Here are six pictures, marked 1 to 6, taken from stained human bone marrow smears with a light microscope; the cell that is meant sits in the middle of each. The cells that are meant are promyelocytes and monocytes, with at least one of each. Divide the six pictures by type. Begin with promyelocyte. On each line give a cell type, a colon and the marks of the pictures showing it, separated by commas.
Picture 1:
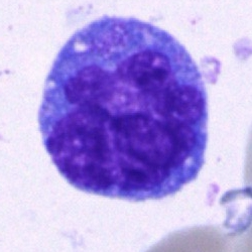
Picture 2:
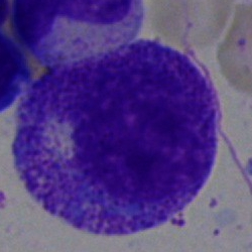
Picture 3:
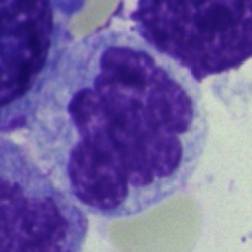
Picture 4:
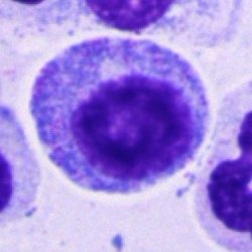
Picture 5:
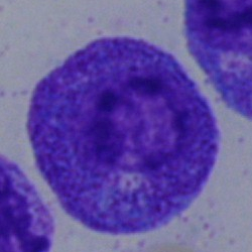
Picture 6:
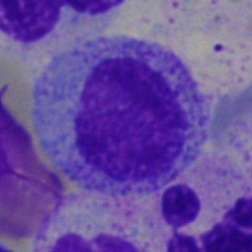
promyelocyte: 2, 4, 5, 6
monocyte: 1, 3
